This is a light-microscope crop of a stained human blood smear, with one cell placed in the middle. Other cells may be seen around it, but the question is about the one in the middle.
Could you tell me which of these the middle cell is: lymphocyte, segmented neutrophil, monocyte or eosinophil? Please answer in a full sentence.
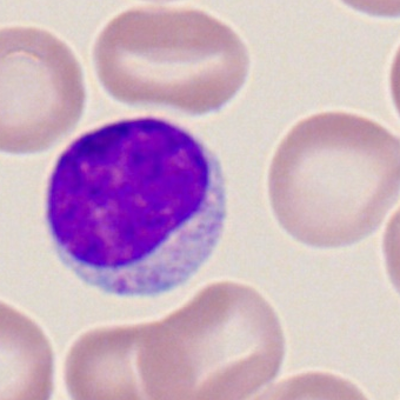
In the middle of this smear crop, the cell is a lymphocyte.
